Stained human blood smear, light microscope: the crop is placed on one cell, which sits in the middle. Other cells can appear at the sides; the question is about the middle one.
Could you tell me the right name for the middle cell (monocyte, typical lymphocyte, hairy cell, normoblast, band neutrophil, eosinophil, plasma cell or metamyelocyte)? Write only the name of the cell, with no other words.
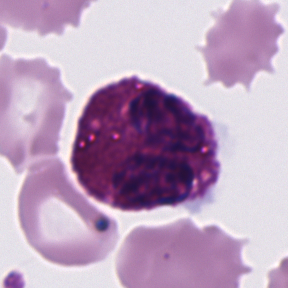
eosinophil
